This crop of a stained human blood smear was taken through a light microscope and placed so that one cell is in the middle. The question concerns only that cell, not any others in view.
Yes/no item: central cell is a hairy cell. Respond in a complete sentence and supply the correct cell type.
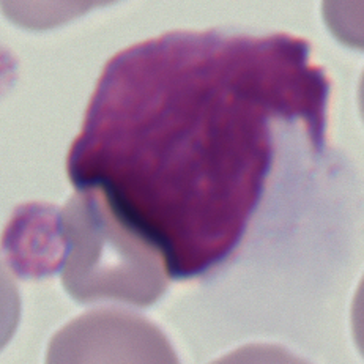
No, the central cell is identified not as a hairy cell but as a smudge cell.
